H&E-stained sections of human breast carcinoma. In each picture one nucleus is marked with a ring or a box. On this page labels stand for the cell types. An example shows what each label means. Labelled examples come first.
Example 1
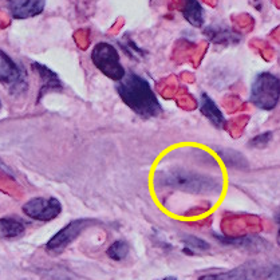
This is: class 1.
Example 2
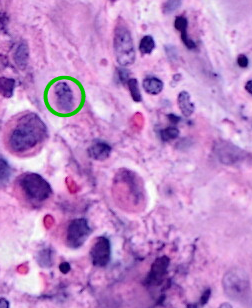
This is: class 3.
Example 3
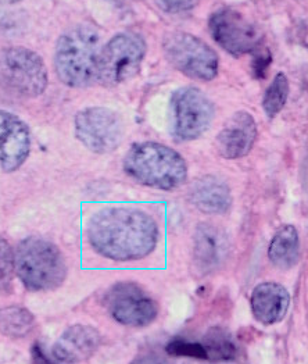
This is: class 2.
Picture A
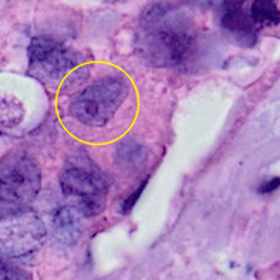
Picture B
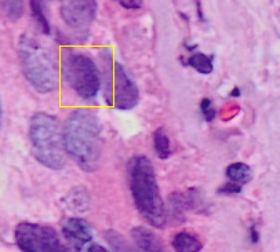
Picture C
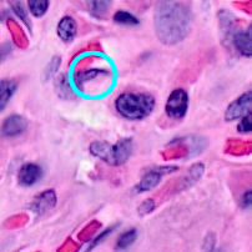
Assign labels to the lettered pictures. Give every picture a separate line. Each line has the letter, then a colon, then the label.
A: class 2.
B: class 2.
C: class 1.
